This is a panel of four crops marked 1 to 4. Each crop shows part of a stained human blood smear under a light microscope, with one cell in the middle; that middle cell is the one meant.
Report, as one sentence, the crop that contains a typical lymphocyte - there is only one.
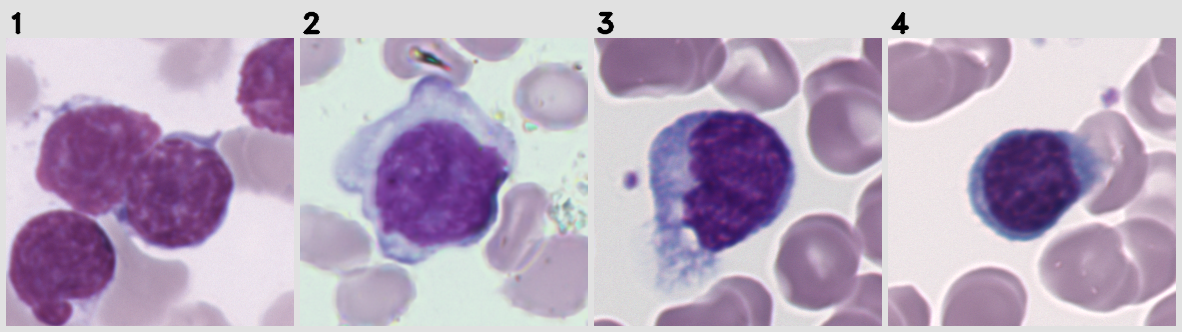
Within this set, crop 4 is the one with a typical lymphocyte at its center.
